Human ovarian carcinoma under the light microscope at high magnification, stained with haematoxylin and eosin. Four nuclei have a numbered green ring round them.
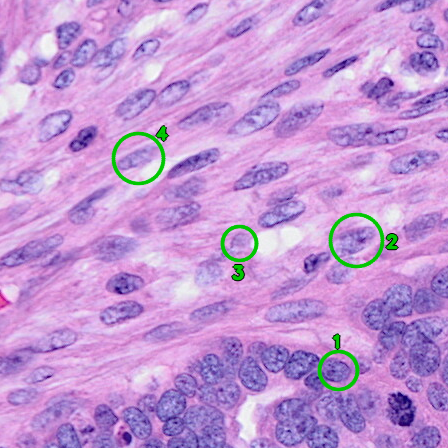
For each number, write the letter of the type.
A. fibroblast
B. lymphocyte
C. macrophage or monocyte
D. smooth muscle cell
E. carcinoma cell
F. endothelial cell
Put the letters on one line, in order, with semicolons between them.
E; A; A; A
